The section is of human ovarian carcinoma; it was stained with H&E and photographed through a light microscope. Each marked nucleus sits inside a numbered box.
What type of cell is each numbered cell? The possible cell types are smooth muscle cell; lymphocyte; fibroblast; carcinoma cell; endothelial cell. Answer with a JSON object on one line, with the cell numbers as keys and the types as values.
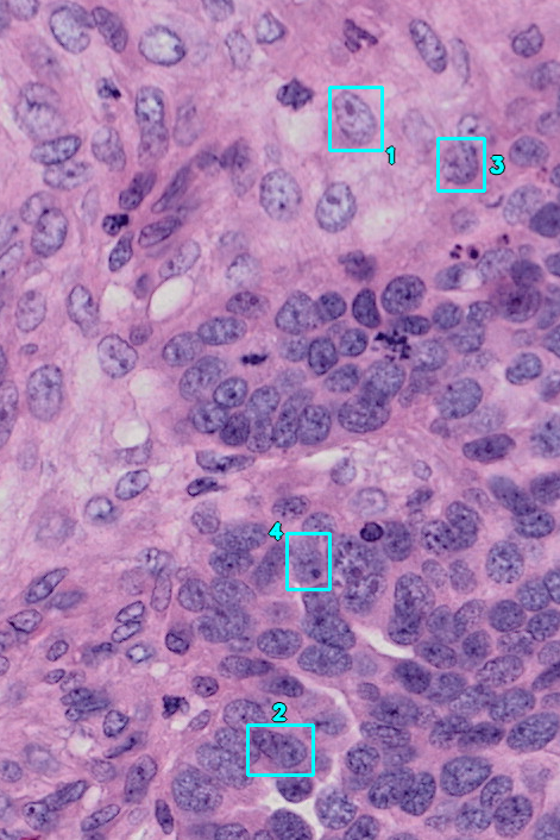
{"1": "fibroblast", "2": "carcinoma cell", "3": "fibroblast", "4": "carcinoma cell"}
